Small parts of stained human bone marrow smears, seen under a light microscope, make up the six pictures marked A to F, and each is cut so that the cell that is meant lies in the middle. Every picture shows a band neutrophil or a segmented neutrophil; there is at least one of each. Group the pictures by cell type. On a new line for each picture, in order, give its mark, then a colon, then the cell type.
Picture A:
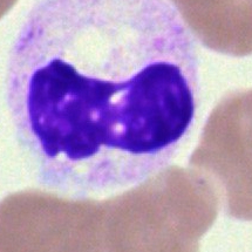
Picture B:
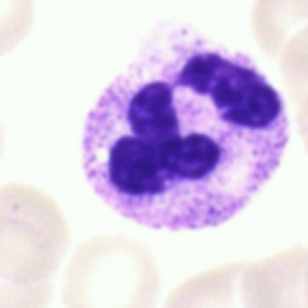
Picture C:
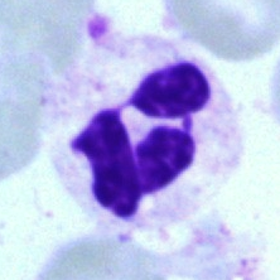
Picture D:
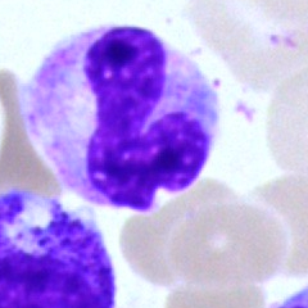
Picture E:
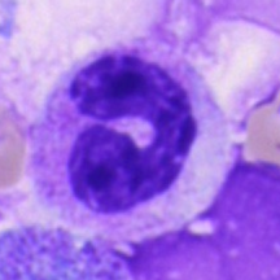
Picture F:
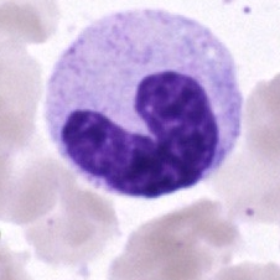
A: band neutrophil
B: segmented neutrophil
C: segmented neutrophil
D: segmented neutrophil
E: band neutrophil
F: band neutrophil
